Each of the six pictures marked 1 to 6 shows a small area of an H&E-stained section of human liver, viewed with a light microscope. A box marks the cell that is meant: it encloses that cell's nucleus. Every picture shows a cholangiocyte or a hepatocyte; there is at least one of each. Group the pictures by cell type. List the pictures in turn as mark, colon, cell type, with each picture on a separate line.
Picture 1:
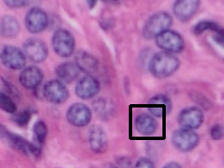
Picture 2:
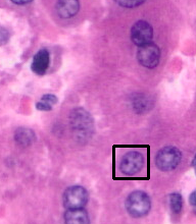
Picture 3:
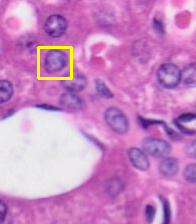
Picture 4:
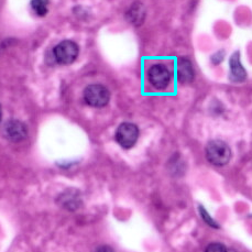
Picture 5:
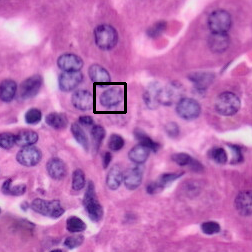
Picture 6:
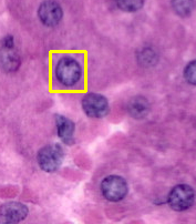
1: cholangiocyte
2: hepatocyte
3: cholangiocyte
4: hepatocyte
5: cholangiocyte
6: hepatocyte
